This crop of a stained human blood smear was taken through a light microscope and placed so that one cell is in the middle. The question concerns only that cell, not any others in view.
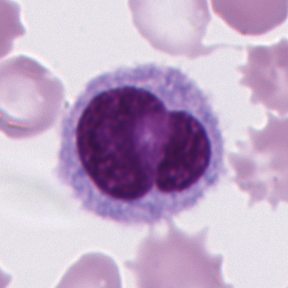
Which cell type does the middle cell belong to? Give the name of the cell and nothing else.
hairy cell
